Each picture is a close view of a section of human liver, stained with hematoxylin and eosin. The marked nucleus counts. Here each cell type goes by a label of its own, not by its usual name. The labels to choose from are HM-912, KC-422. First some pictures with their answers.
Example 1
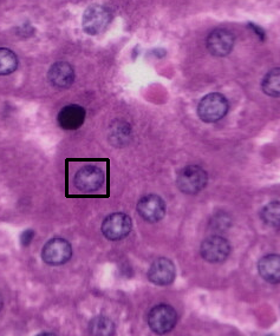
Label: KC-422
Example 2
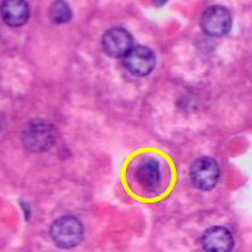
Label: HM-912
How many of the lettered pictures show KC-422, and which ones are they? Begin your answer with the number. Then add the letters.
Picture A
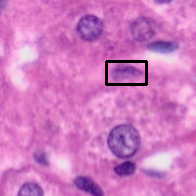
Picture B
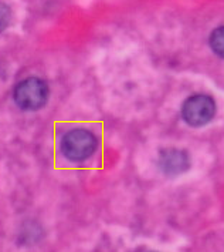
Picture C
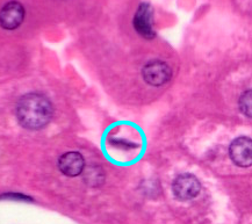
1, namely B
